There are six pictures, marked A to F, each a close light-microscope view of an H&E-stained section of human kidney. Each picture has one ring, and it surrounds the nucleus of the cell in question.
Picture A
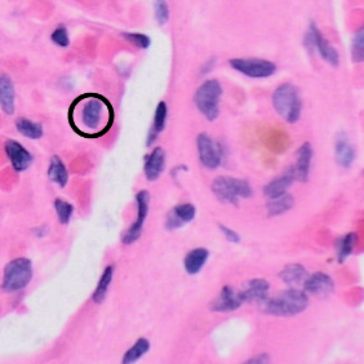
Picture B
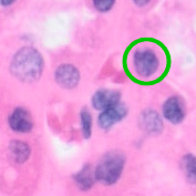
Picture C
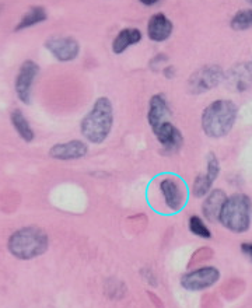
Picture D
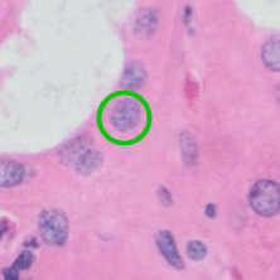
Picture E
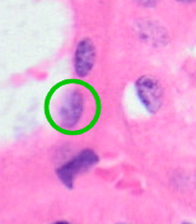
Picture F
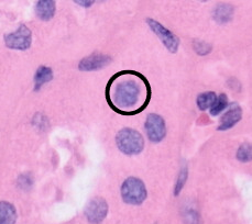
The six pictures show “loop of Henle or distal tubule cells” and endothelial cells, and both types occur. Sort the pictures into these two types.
A: endothelial cell
B: loop of Henle or distal tubule cell
C: endothelial cell
D: loop of Henle or distal tubule cell
E: loop of Henle or distal tubule cell
F: loop of Henle or distal tubule cell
